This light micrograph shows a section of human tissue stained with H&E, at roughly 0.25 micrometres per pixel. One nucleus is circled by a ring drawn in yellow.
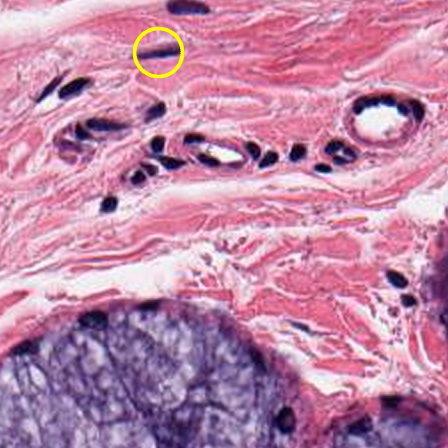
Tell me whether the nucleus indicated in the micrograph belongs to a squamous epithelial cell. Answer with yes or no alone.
no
